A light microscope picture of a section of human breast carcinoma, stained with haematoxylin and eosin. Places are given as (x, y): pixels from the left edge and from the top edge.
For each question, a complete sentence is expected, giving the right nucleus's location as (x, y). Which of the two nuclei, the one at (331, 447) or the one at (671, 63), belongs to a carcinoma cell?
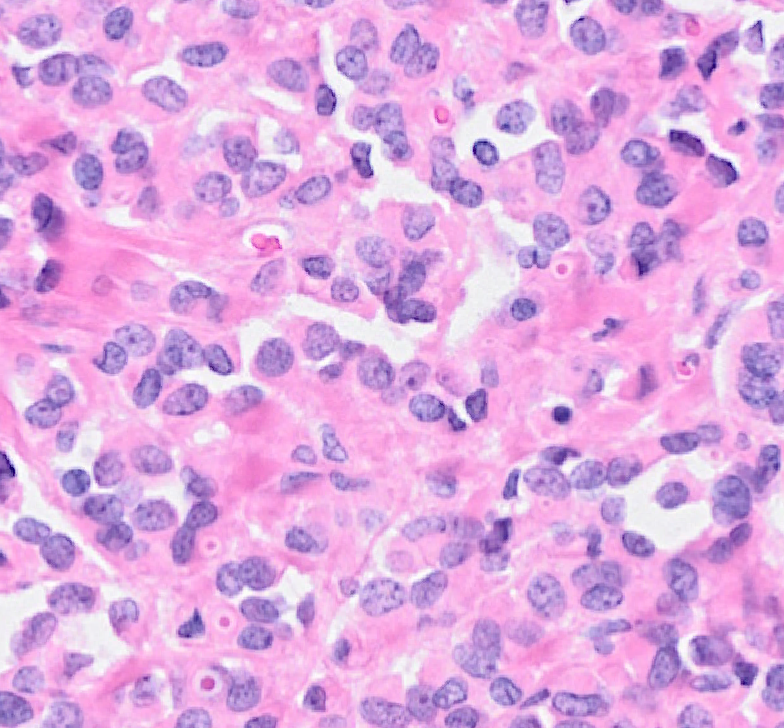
At (671, 63) lies the nucleus that belongs to a carcinoma cell.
